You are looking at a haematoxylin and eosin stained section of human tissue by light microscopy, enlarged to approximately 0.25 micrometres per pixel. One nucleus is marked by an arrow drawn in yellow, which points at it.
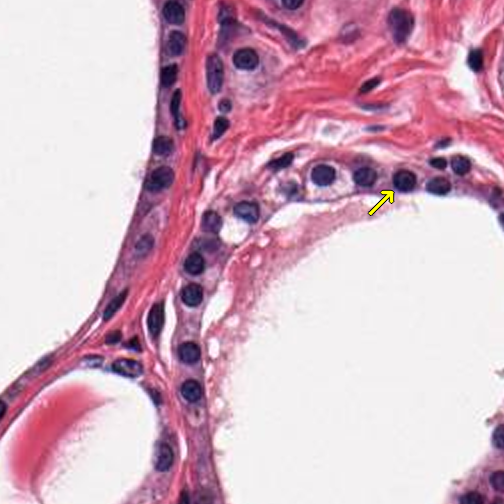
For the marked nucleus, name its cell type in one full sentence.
A nucleus belonging to a thyroid follicular cell is the one marked.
